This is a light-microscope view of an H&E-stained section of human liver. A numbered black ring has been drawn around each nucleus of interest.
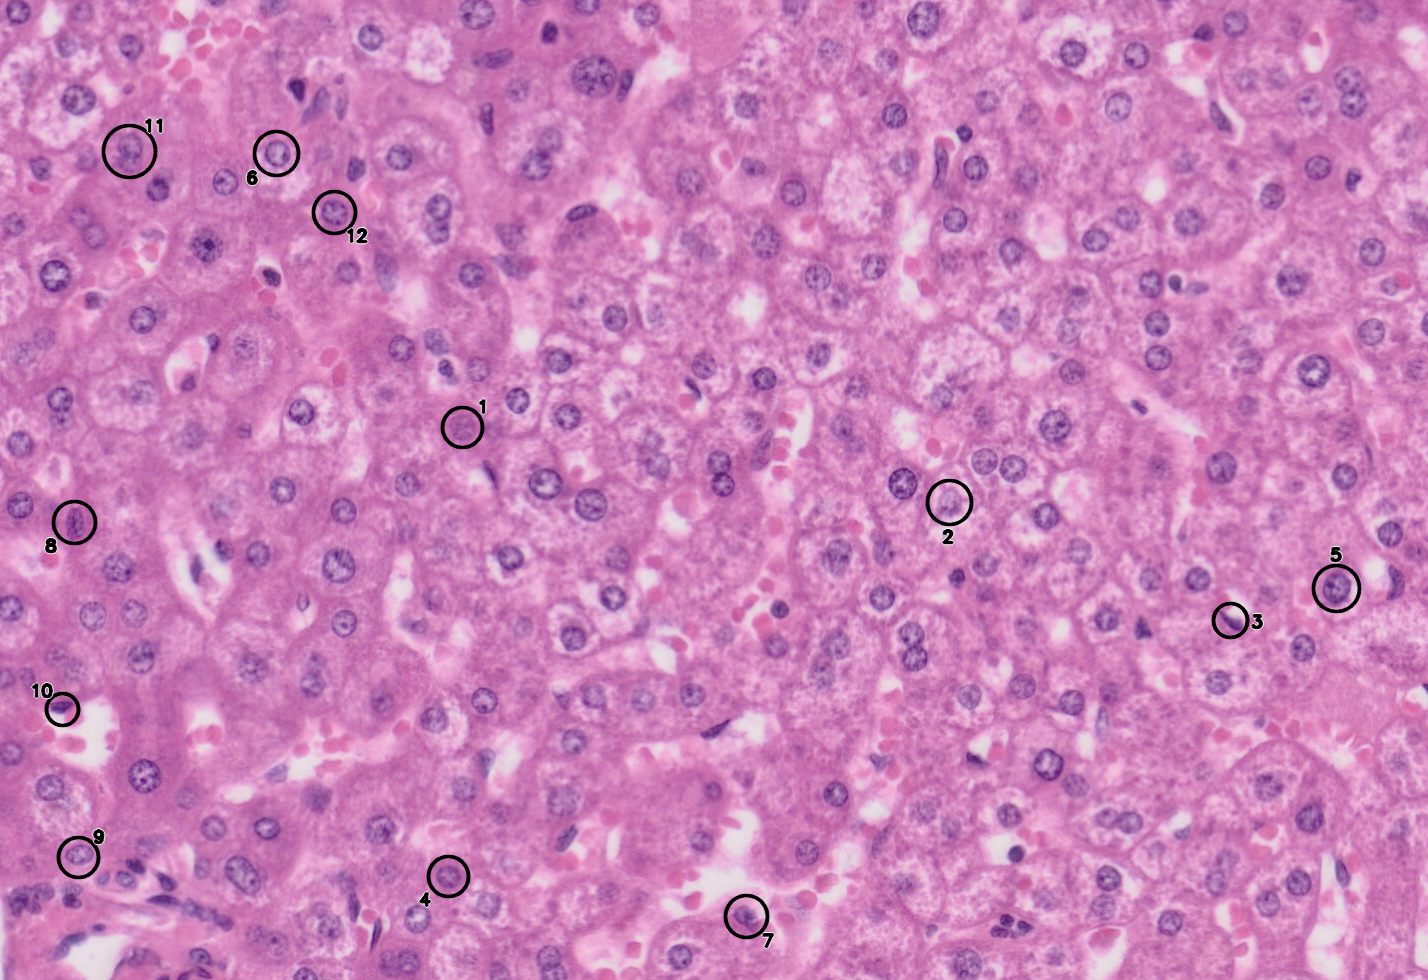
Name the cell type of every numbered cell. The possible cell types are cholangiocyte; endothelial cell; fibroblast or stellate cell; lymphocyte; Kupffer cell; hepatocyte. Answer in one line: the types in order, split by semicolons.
hepatocyte; hepatocyte; endothelial cell; hepatocyte; hepatocyte; hepatocyte; fibroblast or stellate cell; fibroblast or stellate cell; cholangiocyte; fibroblast or stellate cell; hepatocyte; hepatocyte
